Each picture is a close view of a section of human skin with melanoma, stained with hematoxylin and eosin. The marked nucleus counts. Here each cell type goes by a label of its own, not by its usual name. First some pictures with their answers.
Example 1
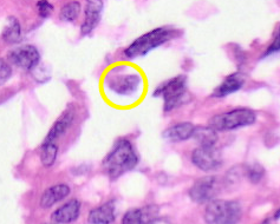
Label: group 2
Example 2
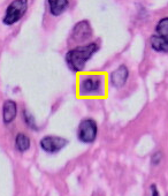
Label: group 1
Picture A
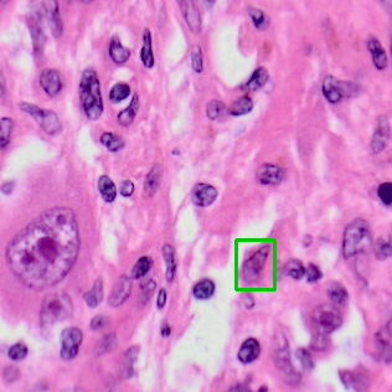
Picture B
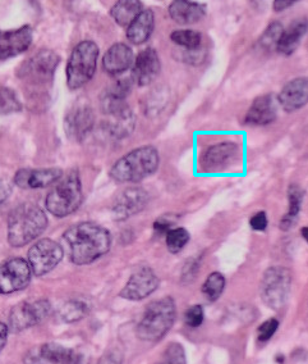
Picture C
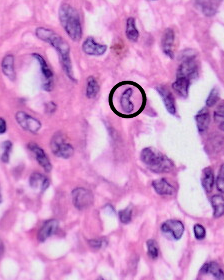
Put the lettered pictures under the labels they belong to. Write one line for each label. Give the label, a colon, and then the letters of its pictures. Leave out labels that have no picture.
group 2: B
group 1: A, C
